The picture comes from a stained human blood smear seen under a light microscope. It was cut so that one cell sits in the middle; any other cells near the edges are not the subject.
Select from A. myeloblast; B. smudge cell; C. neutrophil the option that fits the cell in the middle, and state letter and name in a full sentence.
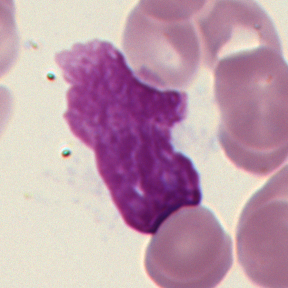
The cell shown centrally is a smudge cell; option B is the correct option.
